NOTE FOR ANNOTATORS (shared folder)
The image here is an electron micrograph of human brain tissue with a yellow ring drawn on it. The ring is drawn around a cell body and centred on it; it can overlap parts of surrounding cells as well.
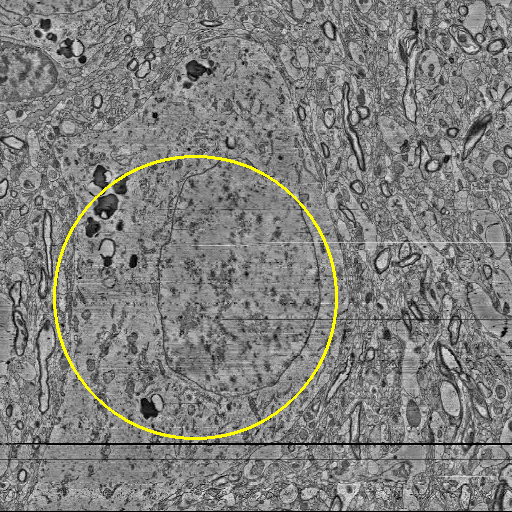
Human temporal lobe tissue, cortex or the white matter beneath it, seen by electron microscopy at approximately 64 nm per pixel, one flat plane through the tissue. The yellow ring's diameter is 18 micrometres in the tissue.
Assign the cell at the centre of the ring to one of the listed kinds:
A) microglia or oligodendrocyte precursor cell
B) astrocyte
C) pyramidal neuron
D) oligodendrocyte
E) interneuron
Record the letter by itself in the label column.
C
